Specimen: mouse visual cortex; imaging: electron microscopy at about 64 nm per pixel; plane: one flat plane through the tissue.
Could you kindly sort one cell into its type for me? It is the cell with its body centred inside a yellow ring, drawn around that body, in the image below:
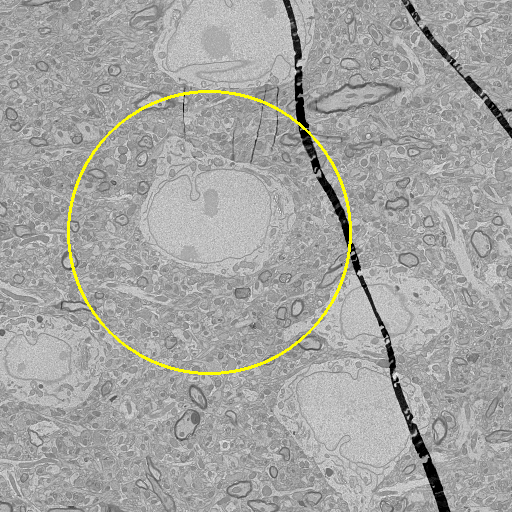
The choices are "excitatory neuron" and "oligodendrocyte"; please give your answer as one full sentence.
The cell whose body lies centred in the yellow ring here is an excitatory neuron.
